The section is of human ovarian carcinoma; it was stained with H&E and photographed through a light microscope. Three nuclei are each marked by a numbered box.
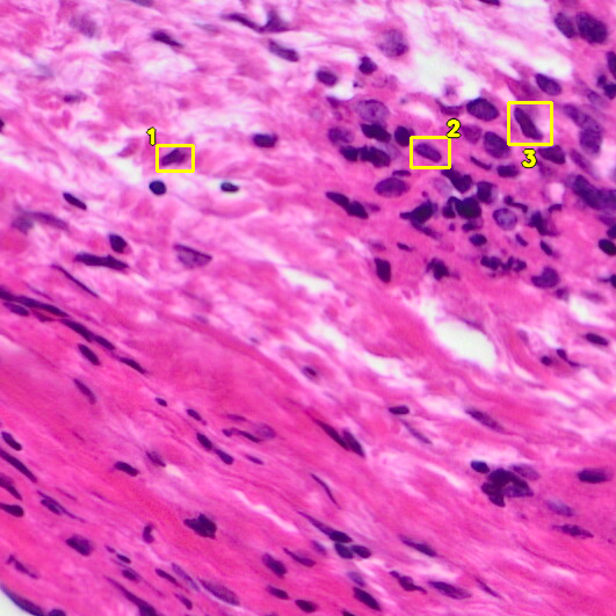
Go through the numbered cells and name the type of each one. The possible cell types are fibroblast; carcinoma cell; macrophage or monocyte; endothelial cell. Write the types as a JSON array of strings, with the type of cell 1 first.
["fibroblast", "macrophage or monocyte", "carcinoma cell"]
